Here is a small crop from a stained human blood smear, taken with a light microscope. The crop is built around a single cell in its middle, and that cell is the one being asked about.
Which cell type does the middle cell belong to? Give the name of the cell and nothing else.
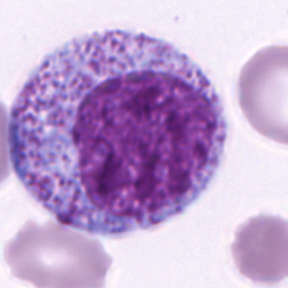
promyelocyte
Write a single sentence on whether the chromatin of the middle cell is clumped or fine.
Answer: the chromatin in this nucleus is coarsely clumped.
